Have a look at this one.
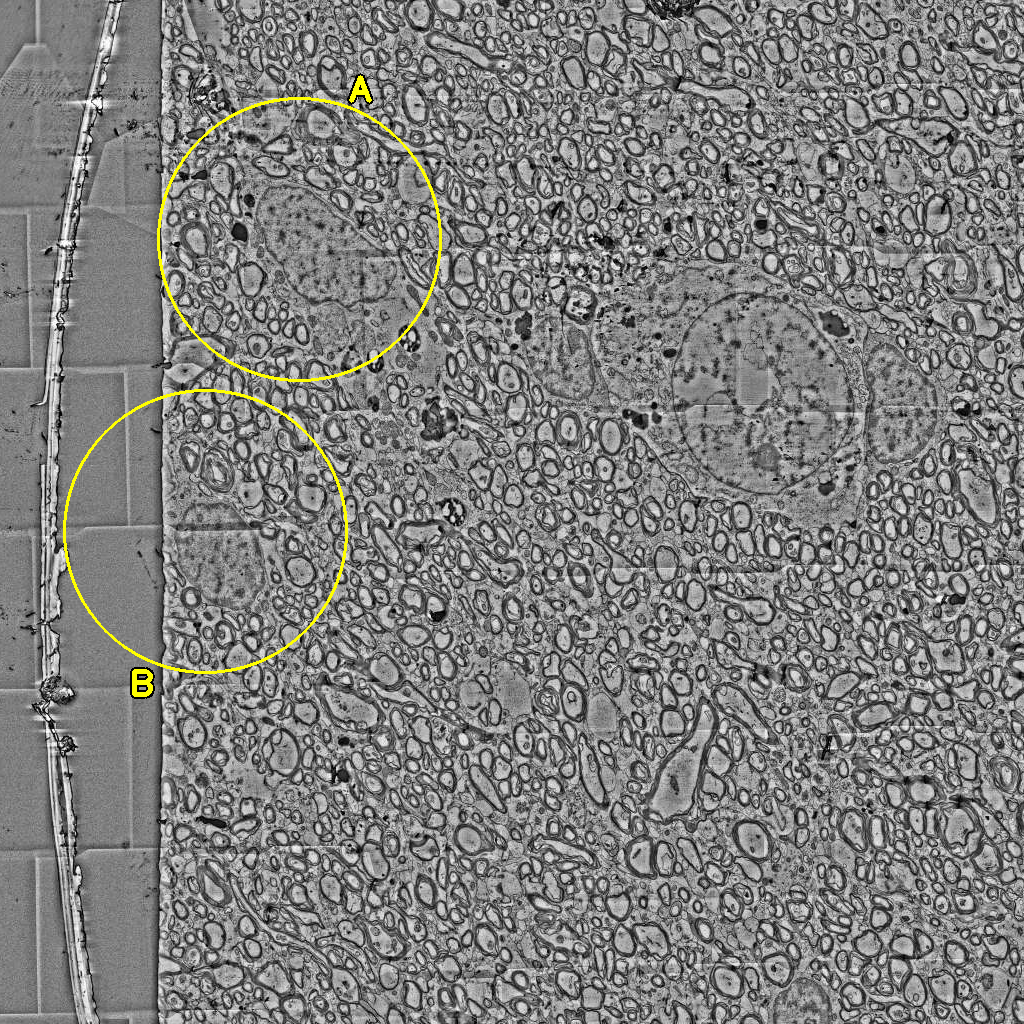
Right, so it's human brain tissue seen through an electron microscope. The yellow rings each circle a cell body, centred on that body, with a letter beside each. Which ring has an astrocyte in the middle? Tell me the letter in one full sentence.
That kind of cell is sitting in the middle of ring A there.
